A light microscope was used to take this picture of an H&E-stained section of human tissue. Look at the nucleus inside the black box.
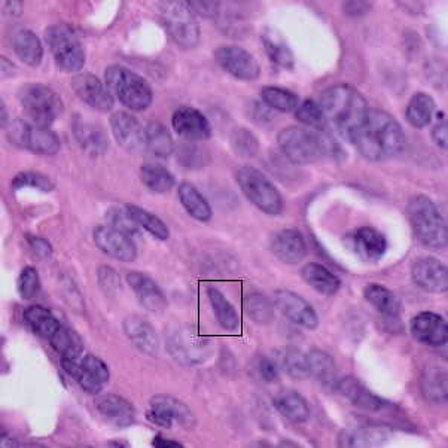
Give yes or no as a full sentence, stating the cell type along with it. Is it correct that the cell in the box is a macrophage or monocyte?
No, the cell in the box is a carcinoma cell rather than a macrophage or monocyte in this section.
